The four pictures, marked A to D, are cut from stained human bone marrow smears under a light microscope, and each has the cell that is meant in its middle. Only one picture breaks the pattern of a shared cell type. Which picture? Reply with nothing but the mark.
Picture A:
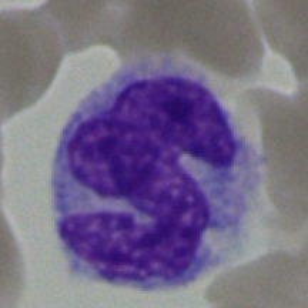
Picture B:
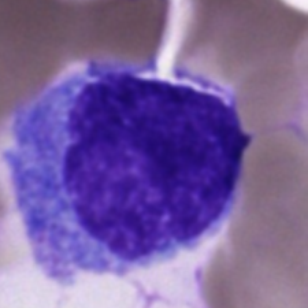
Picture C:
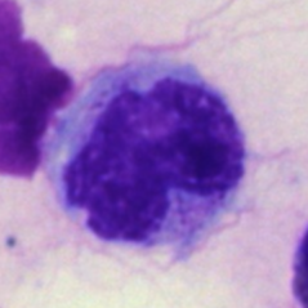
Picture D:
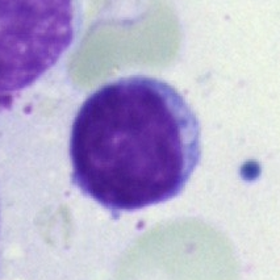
D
